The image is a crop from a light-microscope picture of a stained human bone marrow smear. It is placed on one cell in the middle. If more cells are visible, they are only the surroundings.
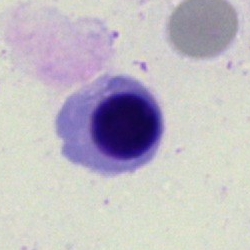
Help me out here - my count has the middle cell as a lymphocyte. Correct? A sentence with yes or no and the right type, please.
No, the central cell isn't a lymphocyte, but an erythroblast.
